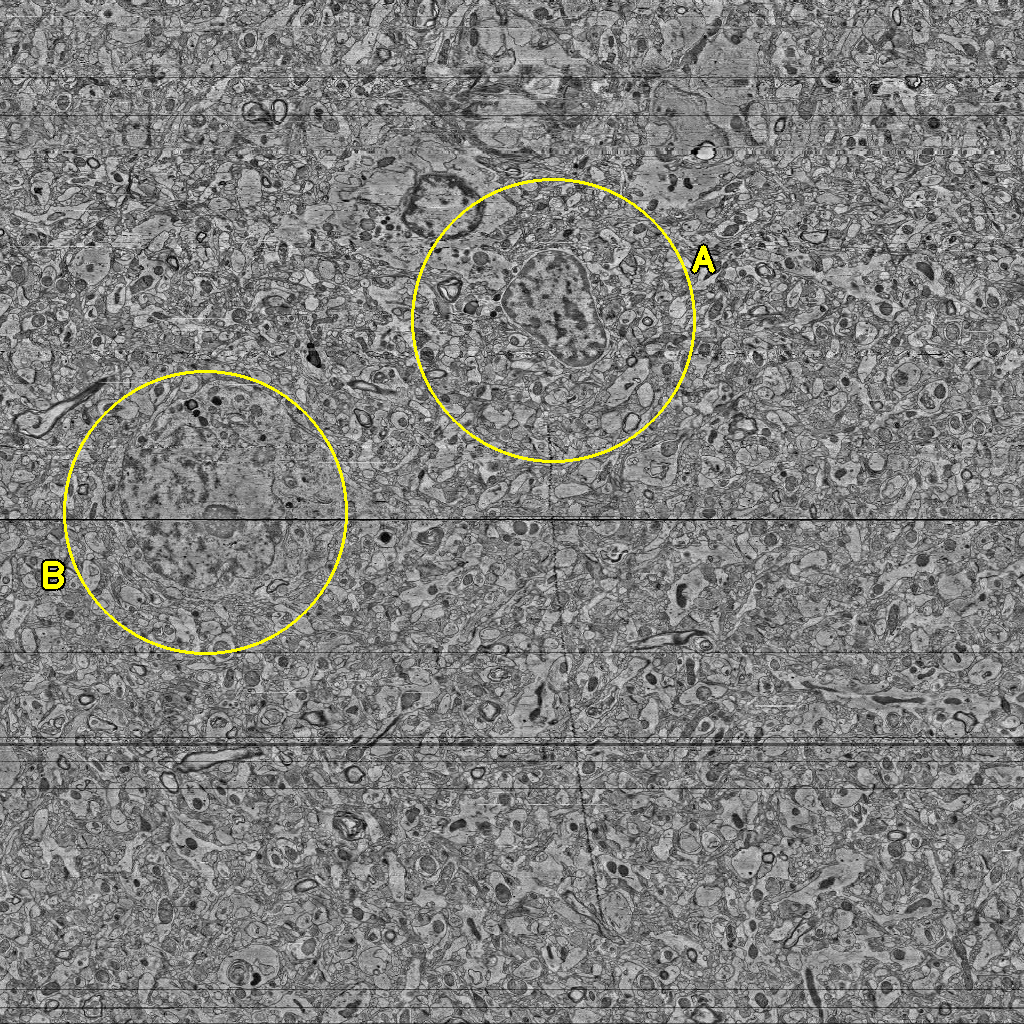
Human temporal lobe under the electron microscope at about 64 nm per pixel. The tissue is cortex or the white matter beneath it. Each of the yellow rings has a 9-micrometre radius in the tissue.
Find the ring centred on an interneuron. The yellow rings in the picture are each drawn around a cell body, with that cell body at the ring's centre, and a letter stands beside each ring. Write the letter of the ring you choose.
B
